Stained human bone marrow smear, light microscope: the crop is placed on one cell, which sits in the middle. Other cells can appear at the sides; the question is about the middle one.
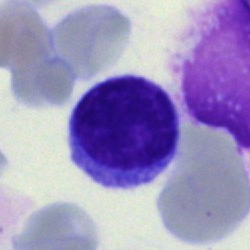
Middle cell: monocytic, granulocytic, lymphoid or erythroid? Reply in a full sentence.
The central cell is grouped with the lymphoid lineage.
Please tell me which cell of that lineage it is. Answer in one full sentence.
This crop is built around a lymphocyte at its centre.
